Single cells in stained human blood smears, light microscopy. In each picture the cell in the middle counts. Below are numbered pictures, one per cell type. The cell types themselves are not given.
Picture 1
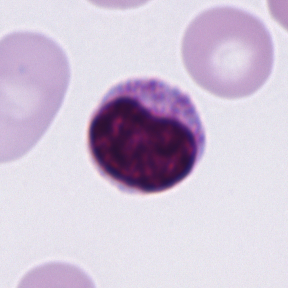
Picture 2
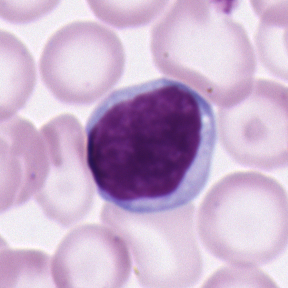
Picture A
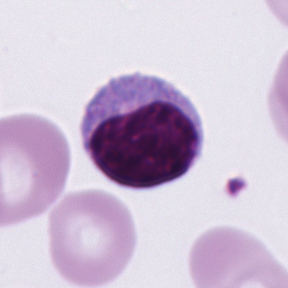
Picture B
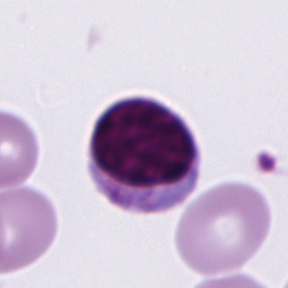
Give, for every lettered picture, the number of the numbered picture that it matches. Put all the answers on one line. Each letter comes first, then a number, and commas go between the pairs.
A 2, B 1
